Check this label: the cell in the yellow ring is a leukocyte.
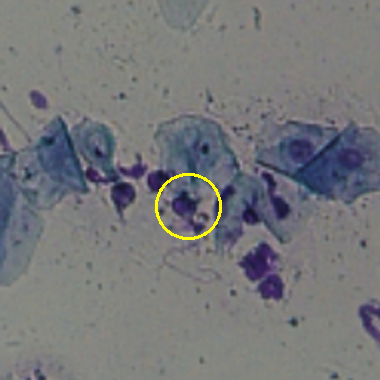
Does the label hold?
The label holds; the cell is a leukocyte.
